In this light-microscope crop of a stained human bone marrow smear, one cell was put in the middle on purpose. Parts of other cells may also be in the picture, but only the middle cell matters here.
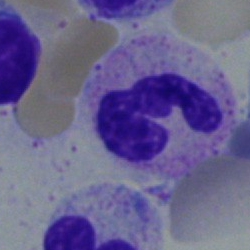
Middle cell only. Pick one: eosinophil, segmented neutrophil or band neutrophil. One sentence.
The cell at the centre of the field is a band neutrophil.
